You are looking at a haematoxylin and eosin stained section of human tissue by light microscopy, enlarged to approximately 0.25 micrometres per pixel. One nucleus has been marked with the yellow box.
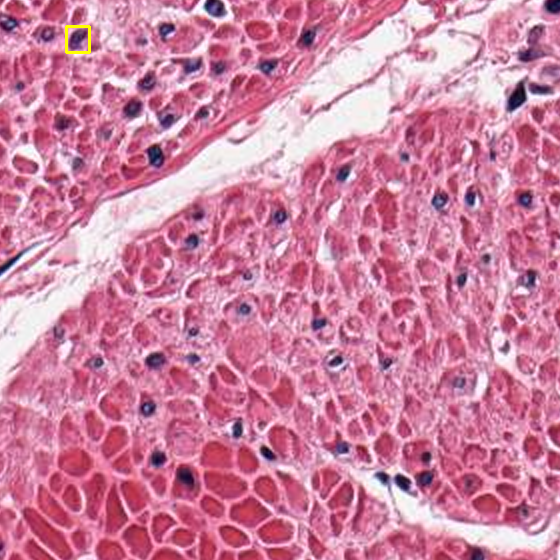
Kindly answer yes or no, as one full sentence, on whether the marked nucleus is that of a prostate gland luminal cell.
No, the marked nucleus does not form part of a prostate gland luminal cell.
